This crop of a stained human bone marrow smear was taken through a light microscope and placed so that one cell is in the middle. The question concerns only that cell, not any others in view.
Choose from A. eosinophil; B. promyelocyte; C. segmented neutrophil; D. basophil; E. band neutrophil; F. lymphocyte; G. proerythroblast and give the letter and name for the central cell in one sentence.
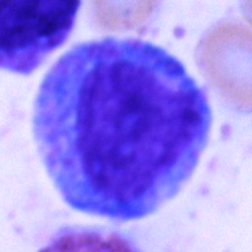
Since the cell in the middle is a promyelocyte, option B is correct.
